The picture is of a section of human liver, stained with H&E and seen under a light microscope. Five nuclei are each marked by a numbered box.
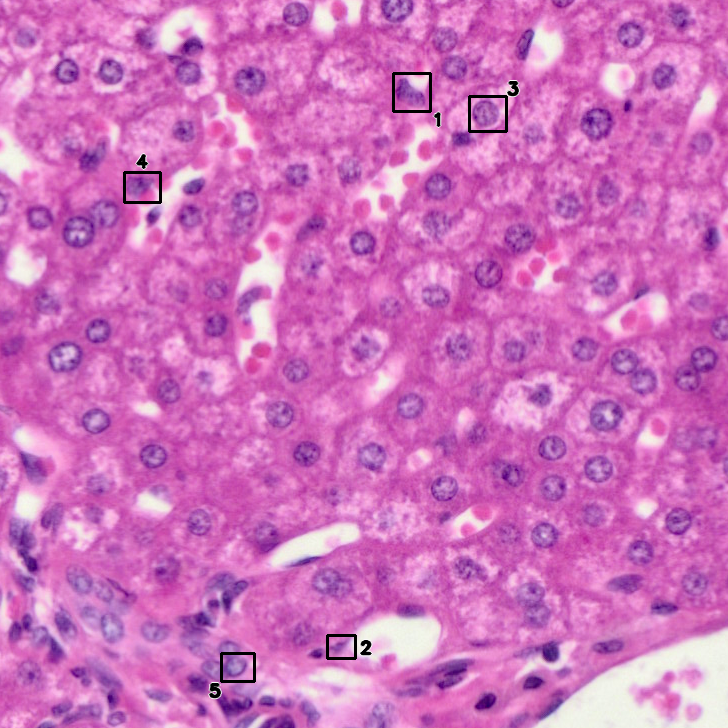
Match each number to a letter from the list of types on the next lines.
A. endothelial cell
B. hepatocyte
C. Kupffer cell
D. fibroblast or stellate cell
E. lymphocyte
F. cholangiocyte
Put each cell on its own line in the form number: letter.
1: A
2: D
3: B
4: A
5: F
